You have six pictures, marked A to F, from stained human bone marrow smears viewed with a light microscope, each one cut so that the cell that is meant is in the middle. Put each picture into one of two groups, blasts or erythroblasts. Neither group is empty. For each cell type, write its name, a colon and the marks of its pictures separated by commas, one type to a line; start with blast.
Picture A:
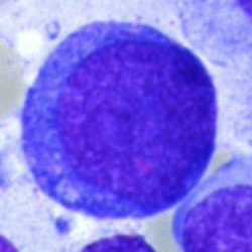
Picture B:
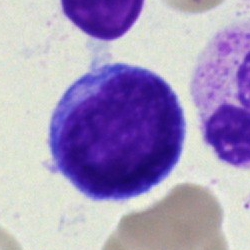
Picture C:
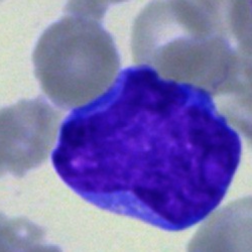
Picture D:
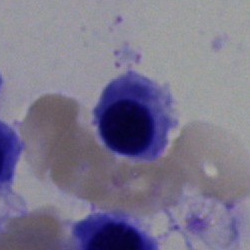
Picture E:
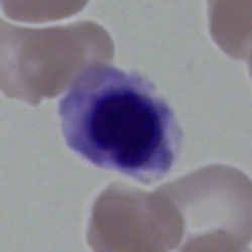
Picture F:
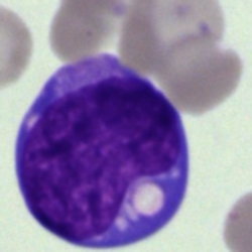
blast: A, B, C, F
erythroblast: D, E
